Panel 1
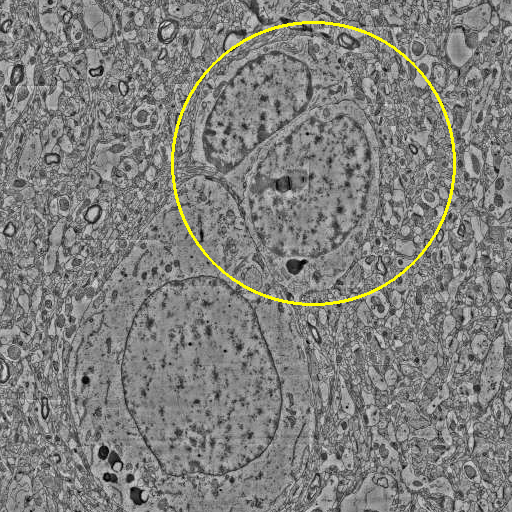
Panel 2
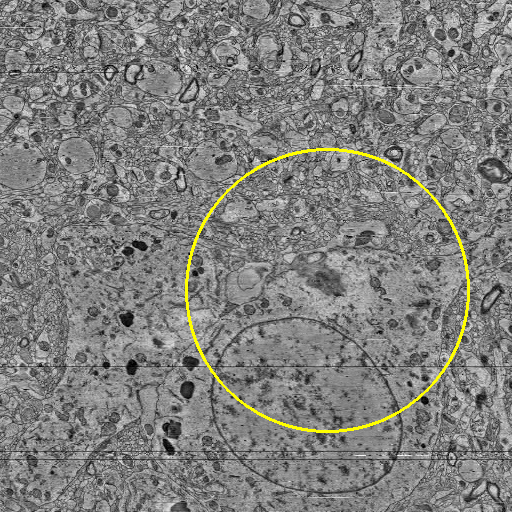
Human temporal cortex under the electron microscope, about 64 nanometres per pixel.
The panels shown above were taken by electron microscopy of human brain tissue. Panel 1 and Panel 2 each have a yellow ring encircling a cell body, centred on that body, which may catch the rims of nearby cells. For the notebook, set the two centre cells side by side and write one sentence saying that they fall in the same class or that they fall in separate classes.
The centred cells of Panel 1 and Panel 2 fall in separate classes.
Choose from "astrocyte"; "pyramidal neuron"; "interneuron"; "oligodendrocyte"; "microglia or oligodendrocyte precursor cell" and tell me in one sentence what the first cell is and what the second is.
What the first ring is centred on is an interneuron; what the second ring is centred on is an oligodendrocyte.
